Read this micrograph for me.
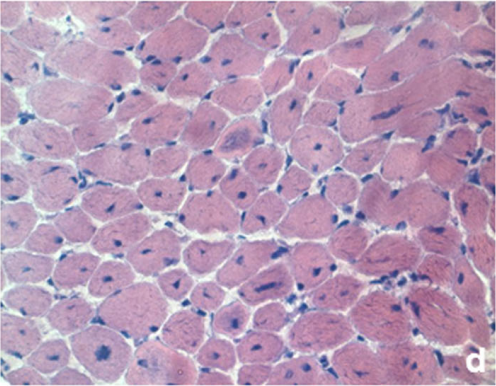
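This is skeletal muscle cut across, showing rounded to polygonal pink muscle fibres in which most have a nucleus sitting in the centre of the fibre. The centrally placed nuclei are dark blue, oval or round, and usually single per fibre. The fibres differ clearly in size, with small rounded fibres lying beside much larger ones. The spaces between fibres are widened in places by pale connective tissue containing scattered small dark nuclei. The pink cytoplasm of the fibres is fairly even, without obvious vacuoles.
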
